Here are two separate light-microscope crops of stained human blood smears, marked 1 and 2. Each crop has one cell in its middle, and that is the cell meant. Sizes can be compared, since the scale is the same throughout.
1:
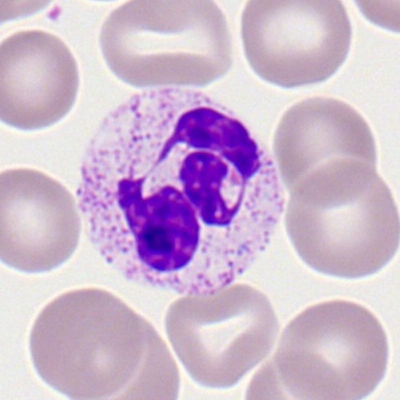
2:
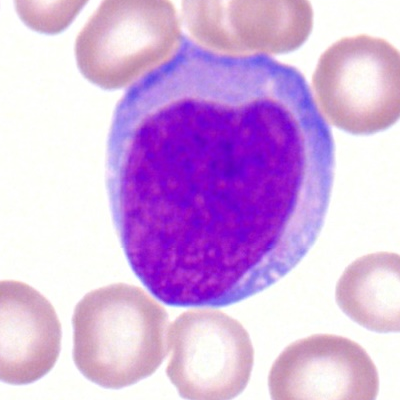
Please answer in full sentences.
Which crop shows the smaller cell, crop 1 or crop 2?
Smaller is the cell in crop 1, and the other is about 1.5 times as large in area.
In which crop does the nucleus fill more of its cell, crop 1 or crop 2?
In crop 2 the nucleus takes up the larger part of its cell.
